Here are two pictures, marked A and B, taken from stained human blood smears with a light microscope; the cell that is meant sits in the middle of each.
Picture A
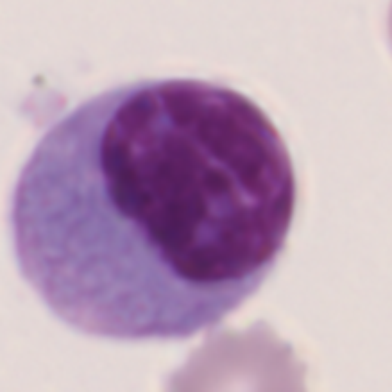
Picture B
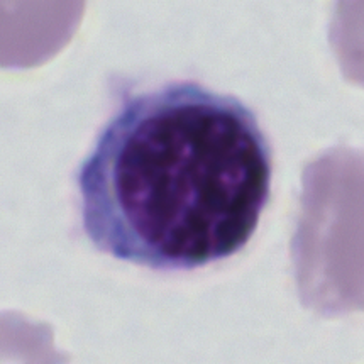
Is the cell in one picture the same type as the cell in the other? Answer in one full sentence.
Yes, the two pictures both show plasma cells.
